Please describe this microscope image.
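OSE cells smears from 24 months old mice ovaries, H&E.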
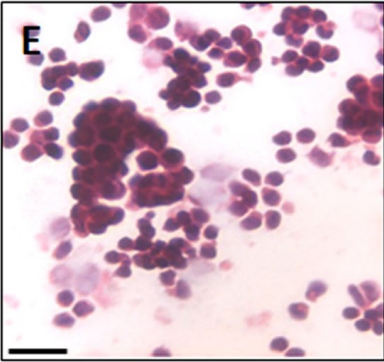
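The cells have round, dark purple nuclei with little pink cytoplasm; the large cluster is packed tightly and stains deeper purple-red than the scattered cells. A few paler, larger, faintly bluish cells lie among them.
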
